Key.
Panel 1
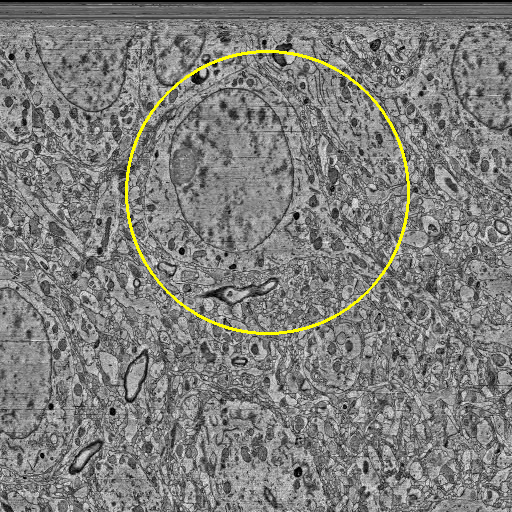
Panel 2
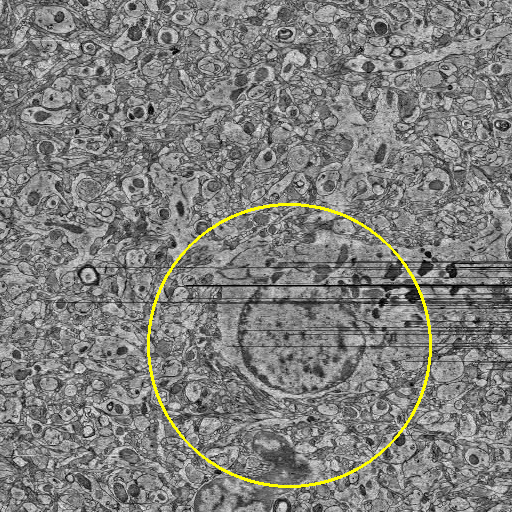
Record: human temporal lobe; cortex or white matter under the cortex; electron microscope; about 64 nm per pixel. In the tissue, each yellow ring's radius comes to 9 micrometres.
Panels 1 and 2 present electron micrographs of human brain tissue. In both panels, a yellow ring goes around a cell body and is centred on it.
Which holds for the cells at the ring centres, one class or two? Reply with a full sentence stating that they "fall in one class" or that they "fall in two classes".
Taken together, the ring-centre cells of the two panels fall in two classes.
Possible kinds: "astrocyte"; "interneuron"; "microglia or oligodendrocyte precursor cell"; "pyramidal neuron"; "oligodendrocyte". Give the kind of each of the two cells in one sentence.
The cell in the second picture is an astrocyte, and that in the first is a pyramidal neuron.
